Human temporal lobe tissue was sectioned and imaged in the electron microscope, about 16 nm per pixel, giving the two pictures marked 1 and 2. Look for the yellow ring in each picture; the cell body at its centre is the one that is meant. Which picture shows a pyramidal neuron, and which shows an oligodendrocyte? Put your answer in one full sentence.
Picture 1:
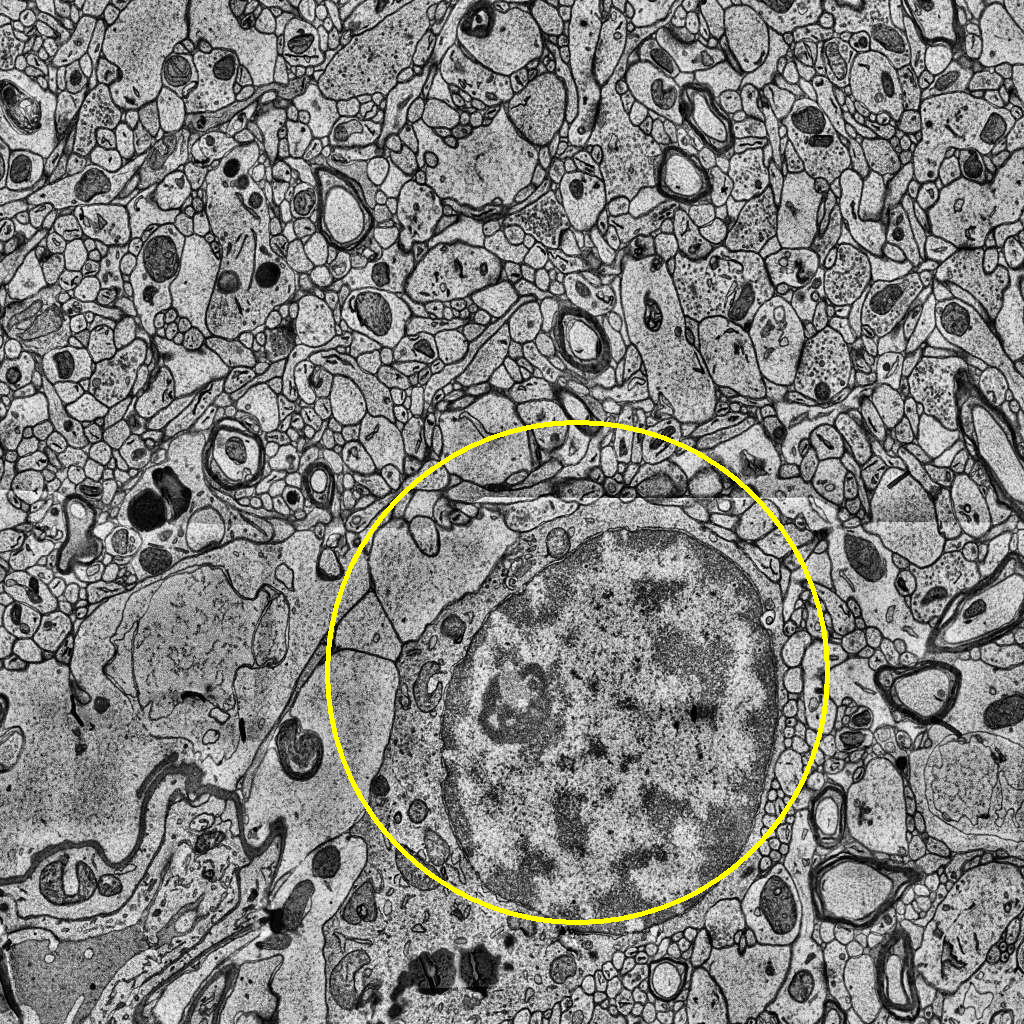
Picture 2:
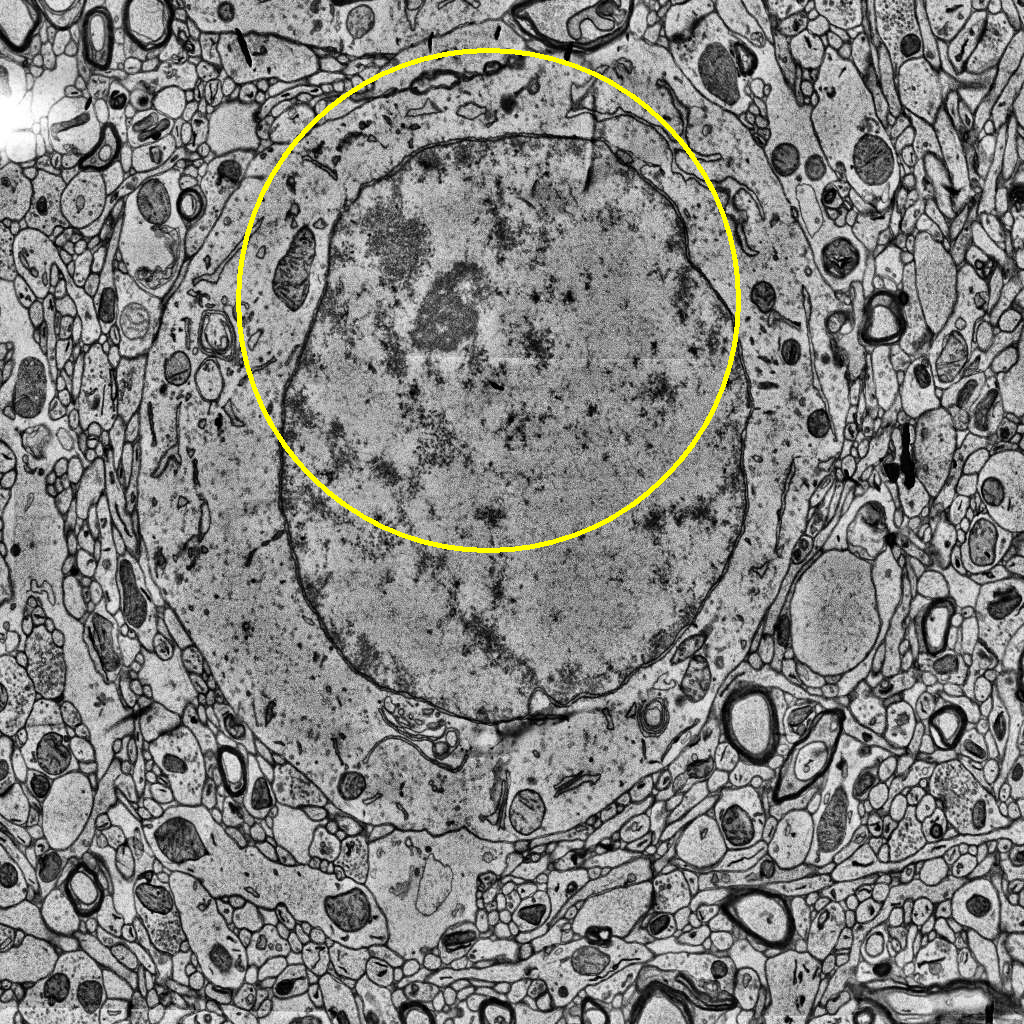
The cell in picture 1 is an oligodendrocyte, and the one in picture 2 is a pyramidal neuron.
